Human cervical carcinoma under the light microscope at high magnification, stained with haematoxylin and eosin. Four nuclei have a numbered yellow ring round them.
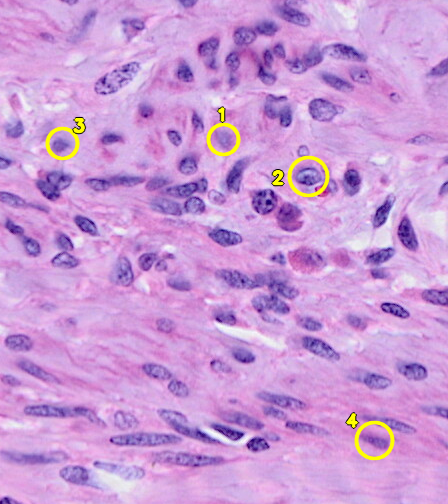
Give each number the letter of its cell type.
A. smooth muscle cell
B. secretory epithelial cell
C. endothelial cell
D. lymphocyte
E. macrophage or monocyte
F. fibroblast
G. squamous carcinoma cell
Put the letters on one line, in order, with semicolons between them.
A; C; F; A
